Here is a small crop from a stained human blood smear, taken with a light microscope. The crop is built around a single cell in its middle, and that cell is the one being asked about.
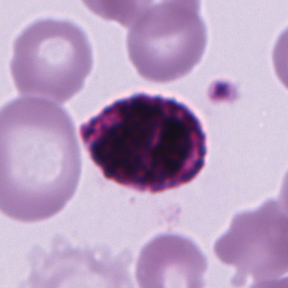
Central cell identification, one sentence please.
This crop has a basophil at its centre.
